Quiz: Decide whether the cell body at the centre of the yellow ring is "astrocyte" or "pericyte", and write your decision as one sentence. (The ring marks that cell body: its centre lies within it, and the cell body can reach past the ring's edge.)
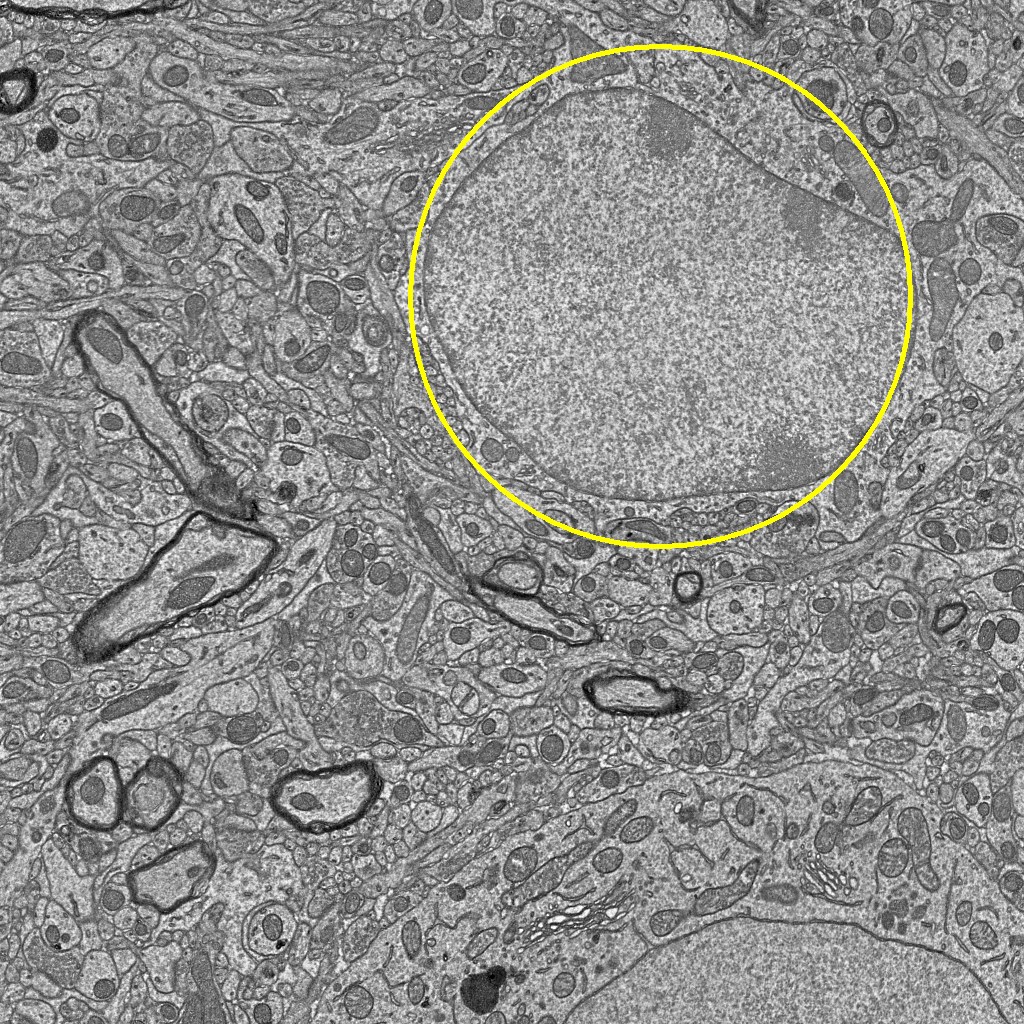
The cell holding the ring's centre is an astrocyte.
